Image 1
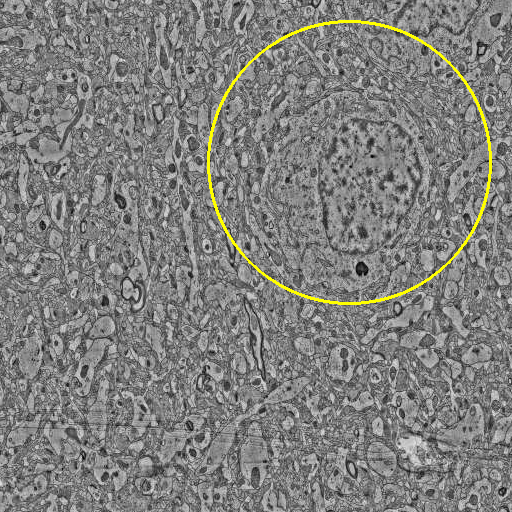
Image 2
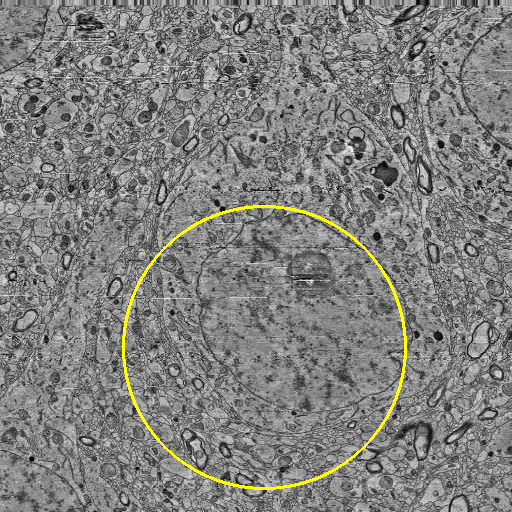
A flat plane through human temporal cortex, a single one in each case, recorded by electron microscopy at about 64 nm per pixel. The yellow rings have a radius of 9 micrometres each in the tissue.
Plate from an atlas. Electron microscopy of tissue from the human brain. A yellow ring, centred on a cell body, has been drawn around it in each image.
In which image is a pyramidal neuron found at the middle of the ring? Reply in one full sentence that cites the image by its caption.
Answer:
The requested cell is the one at the ring's centre in Image 2.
